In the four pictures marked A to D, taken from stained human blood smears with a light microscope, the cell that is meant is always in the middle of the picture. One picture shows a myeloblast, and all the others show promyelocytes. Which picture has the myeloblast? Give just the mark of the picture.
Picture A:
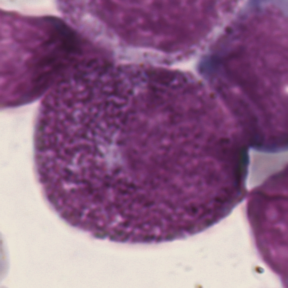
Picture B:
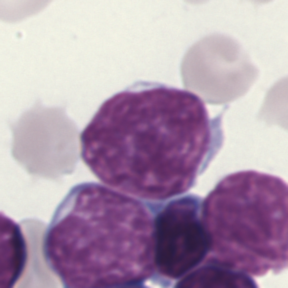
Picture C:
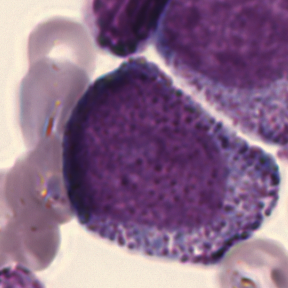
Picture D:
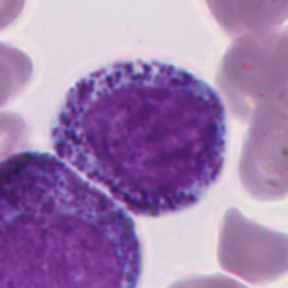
B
